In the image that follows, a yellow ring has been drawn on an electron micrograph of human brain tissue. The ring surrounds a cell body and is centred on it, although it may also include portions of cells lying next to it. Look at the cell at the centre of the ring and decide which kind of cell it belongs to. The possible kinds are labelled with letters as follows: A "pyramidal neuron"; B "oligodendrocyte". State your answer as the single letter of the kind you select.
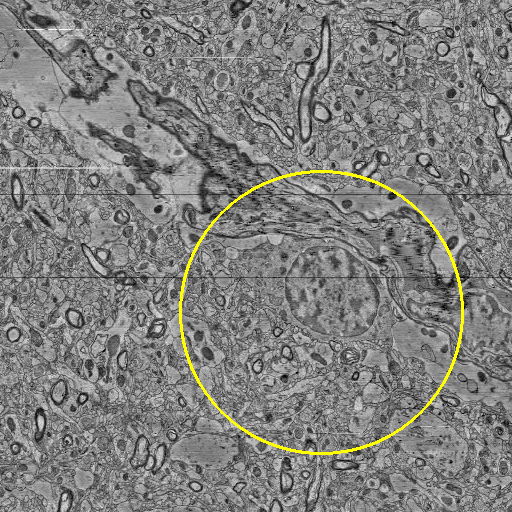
B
